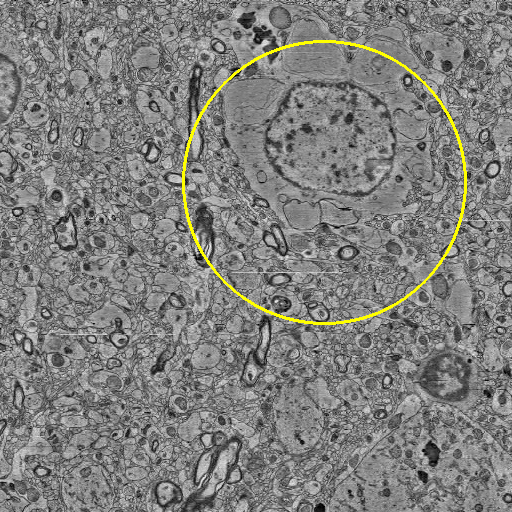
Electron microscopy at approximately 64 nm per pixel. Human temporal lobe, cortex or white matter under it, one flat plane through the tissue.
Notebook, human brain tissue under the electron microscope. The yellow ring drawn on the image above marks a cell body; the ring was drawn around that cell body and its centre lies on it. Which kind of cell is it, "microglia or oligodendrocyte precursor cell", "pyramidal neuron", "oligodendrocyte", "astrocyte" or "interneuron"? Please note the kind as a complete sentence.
The marked cell body is that of an astrocyte.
